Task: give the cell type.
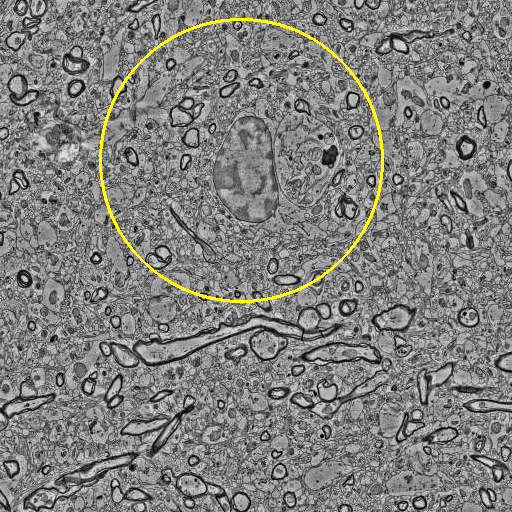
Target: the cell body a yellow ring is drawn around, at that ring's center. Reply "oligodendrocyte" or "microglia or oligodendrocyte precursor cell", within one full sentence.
In this picture, the cell whose body lies at the ring's center is a microglial cell or oligodendrocyte precursor cell.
